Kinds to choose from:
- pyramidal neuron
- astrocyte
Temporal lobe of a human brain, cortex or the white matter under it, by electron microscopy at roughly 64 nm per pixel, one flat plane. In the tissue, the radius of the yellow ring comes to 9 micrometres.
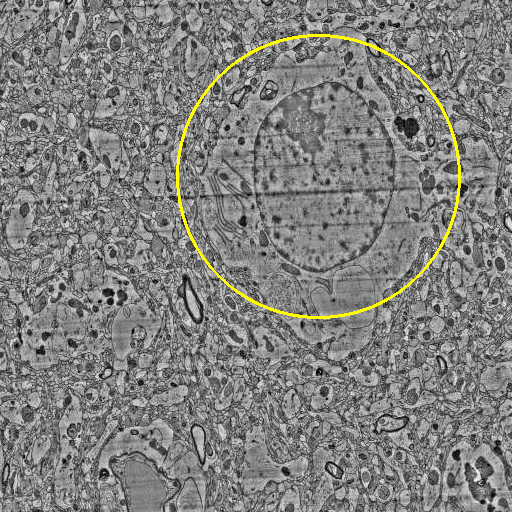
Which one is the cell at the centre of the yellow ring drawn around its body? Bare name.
astrocyte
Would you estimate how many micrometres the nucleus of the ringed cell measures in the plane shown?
In this plane, approximately 12 by 9 micrometers.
